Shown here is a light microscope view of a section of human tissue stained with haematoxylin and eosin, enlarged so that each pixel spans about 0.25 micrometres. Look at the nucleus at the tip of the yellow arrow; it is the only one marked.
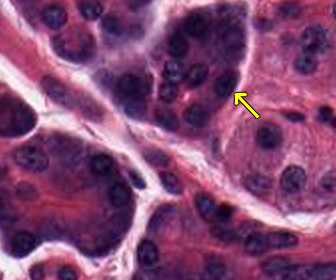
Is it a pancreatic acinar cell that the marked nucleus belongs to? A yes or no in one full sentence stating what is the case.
Yes, the marked nucleus is located in a pancreatic acinar cell.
